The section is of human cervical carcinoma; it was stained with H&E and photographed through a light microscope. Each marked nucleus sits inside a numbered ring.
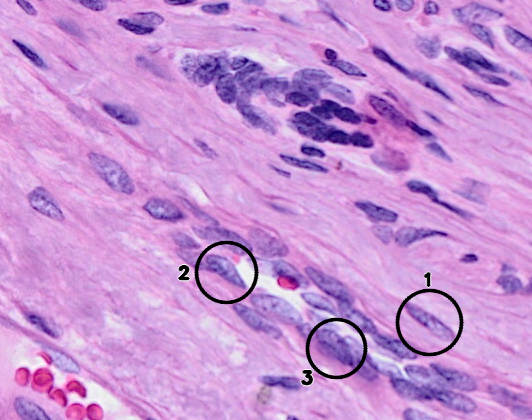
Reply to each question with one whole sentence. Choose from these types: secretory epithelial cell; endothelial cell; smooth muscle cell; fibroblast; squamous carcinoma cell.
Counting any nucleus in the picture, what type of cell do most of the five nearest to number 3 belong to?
Of the five nuclei nearest to number 3, most belong to endothelial cells.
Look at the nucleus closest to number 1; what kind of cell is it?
Closest to number 1 lies the nucleus of an endothelial cell.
